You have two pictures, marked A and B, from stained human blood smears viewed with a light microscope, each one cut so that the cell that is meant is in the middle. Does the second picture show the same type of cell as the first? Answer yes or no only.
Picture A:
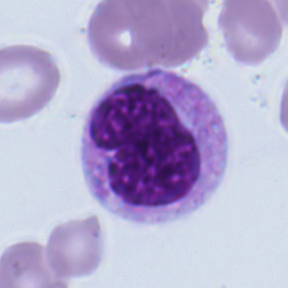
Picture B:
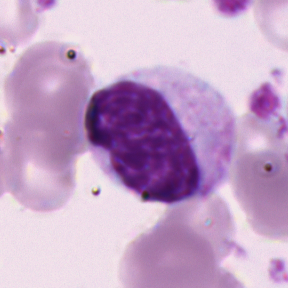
yes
